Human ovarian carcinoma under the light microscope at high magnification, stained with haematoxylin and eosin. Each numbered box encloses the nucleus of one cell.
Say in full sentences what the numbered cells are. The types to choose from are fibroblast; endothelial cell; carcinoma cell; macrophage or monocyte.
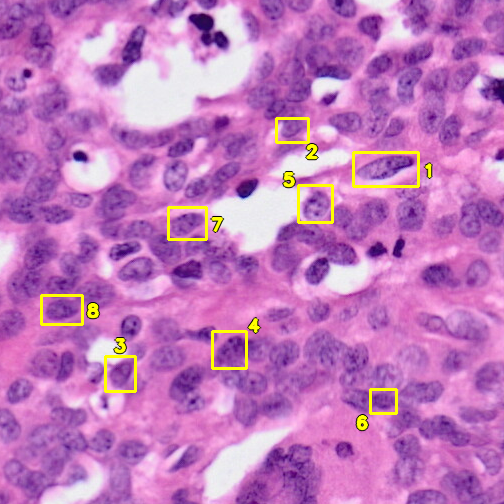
Cell 1 is an endothelial cell. Cells 2, 3, 4, 6 and 8 are carcinoma cells. Cells 5 and 7 are macrophages or monocytes.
